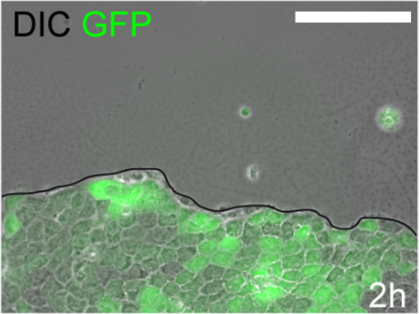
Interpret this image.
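The lower part of the field is covered by a continuous sheet of closely packed polygonal epithelial cells, bounded by a wavy edge traced by a black line, with bare substrate above. Many cells throughout the sheet glow green in their cytoplasm, with variable brightness from cell to cell, while others remain unlabelled, so the pattern is mosaic. A few round, detached cells float in the empty area above the edge.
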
